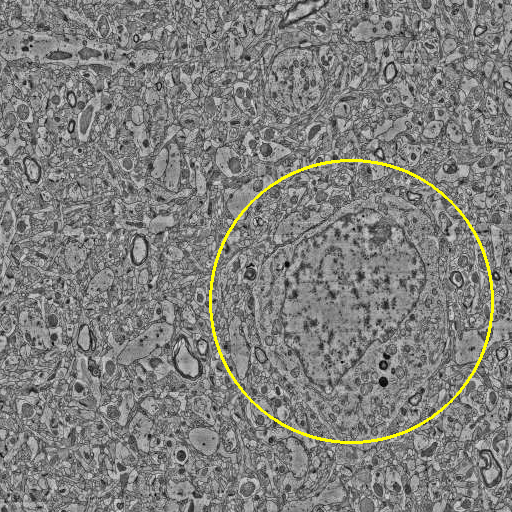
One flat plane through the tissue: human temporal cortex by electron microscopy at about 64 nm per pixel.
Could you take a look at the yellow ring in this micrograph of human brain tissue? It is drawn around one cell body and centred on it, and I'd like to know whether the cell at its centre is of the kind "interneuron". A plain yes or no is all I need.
yes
